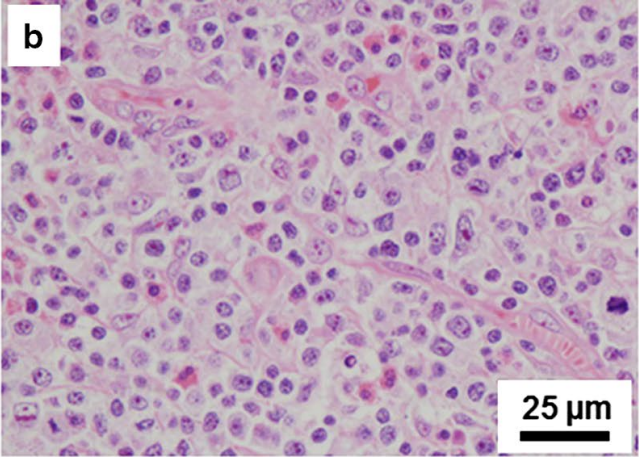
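This is a lymphoid infiltrate of polymorphic cells traversed by small branching vessels. Many cells have round nuclei with a rim of clear-to-pale cytoplasm and distinct cell borders. Among them lie scattered cells with bright pink, eosinophilic cytoplasm. Nuclei vary in size, with some larger cells showing visible nucleoli.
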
